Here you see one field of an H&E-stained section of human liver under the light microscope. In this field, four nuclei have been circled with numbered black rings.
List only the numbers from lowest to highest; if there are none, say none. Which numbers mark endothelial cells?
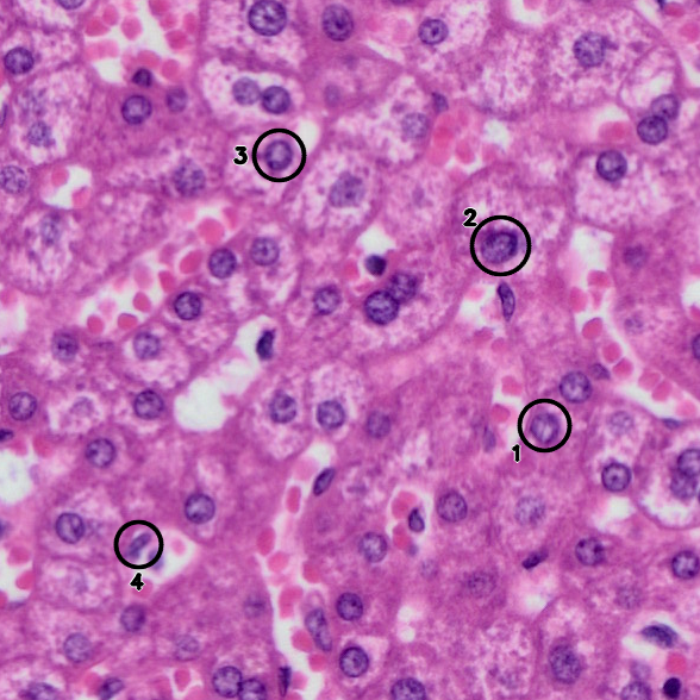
4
